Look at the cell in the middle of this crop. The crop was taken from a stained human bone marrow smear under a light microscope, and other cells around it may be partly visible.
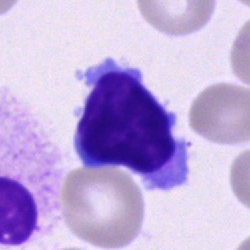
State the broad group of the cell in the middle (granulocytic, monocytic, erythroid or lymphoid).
lymphoid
